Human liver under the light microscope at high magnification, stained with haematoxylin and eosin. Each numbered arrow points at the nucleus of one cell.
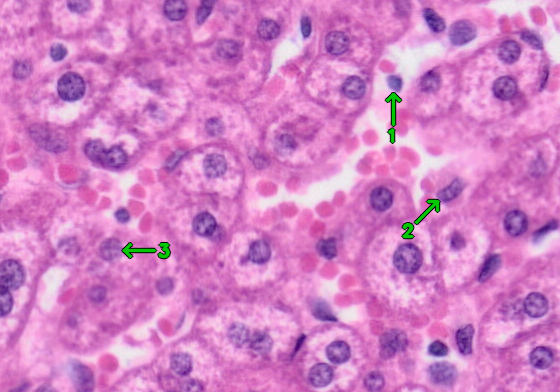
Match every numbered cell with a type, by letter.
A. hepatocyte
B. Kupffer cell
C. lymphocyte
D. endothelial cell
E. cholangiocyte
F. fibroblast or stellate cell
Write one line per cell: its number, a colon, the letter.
1: C
2: B
3: A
